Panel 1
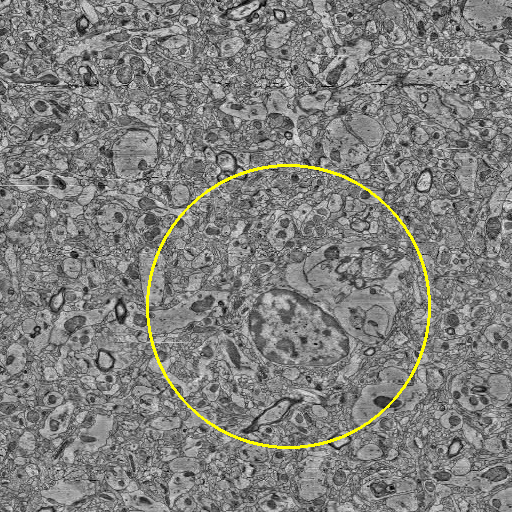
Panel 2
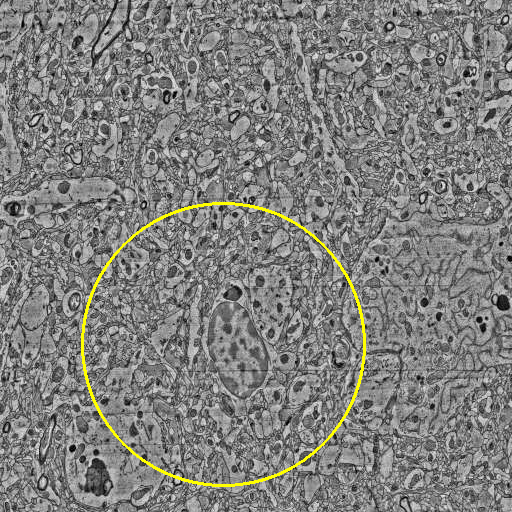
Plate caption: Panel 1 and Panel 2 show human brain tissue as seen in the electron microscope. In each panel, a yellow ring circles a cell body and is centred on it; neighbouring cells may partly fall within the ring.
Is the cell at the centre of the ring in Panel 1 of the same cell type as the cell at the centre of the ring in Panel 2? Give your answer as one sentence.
Yes, the two cells are of the same type.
